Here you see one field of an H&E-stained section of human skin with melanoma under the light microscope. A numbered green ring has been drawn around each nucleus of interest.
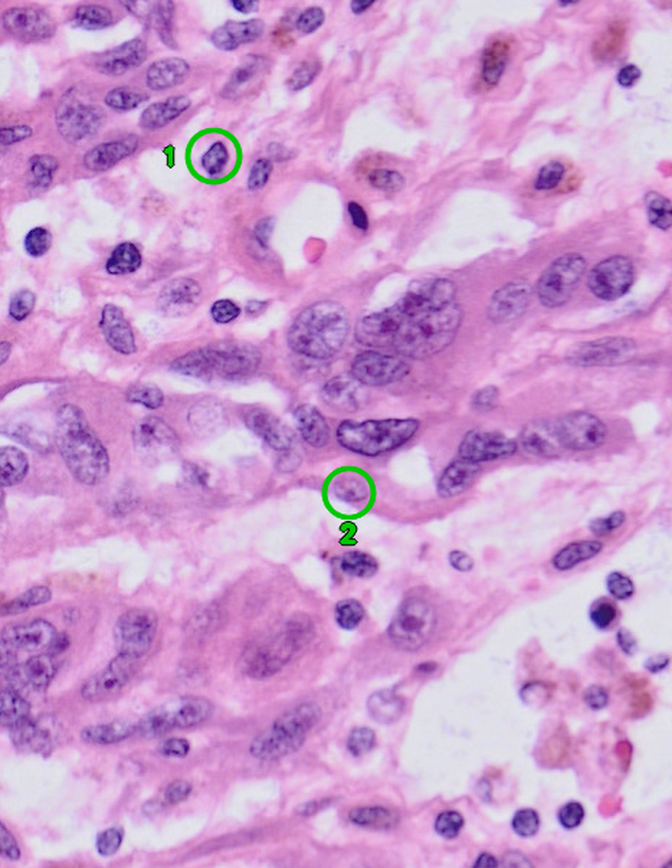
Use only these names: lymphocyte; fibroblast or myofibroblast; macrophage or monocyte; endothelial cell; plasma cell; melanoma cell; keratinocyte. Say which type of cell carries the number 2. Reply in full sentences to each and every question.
Regarding cell 2, this one is a melanoma cell.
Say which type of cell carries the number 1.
As for number 1, that cell is a lymphocyte.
